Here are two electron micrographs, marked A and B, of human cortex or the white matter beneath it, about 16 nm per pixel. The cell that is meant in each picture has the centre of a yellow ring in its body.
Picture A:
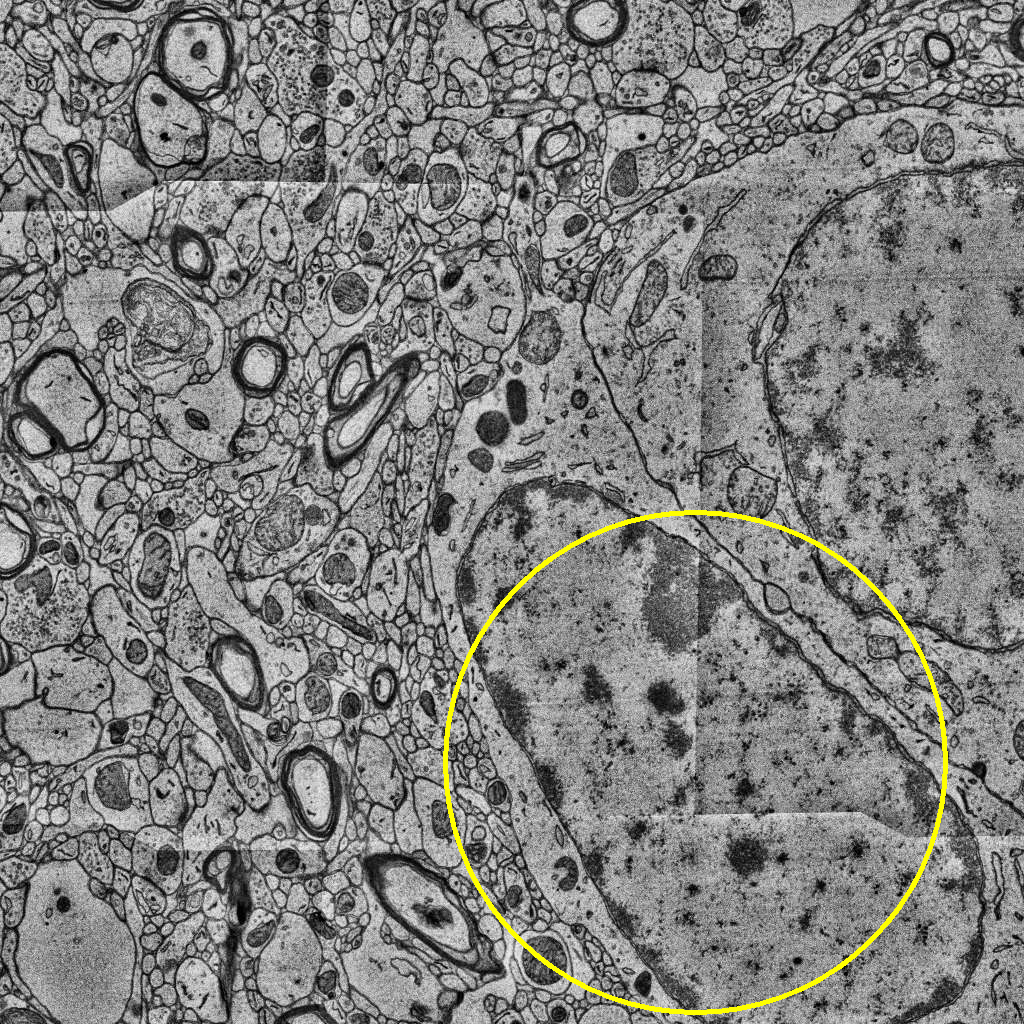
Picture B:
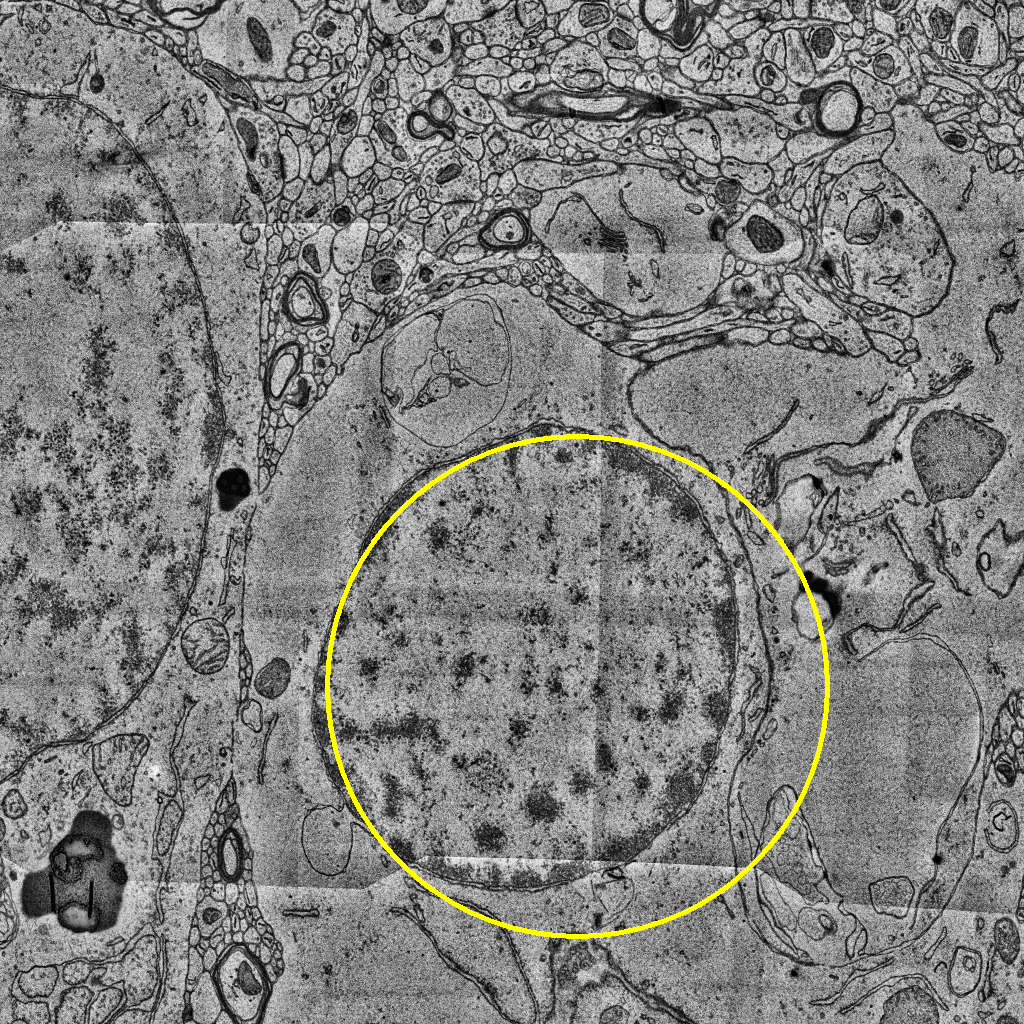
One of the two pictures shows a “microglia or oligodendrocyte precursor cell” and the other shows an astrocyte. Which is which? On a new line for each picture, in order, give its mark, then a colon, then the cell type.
A: microglia or oligodendrocyte precursor cell
B: astrocyte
